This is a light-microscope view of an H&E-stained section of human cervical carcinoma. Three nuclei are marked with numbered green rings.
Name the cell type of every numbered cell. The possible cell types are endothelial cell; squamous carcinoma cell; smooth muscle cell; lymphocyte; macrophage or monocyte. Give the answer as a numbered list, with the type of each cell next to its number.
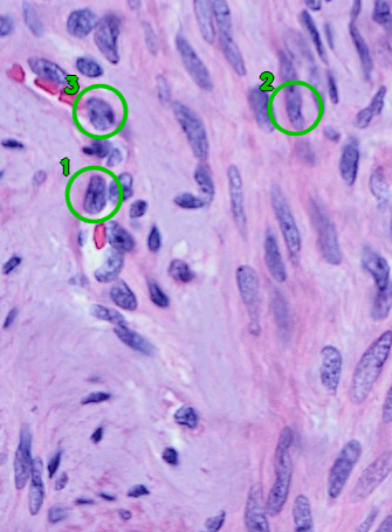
1. endothelial cell
2. smooth muscle cell
3. endothelial cell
